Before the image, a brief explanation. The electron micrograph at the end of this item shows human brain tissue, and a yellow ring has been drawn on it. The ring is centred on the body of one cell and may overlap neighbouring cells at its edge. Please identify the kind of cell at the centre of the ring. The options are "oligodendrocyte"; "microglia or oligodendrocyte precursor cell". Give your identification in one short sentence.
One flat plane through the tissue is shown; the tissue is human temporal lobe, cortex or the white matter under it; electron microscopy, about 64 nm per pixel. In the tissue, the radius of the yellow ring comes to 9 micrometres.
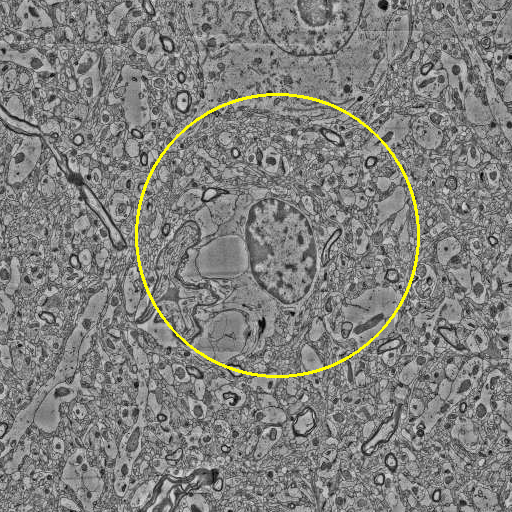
The ring has been placed around a microglial cell or oligodendrocyte precursor cell.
